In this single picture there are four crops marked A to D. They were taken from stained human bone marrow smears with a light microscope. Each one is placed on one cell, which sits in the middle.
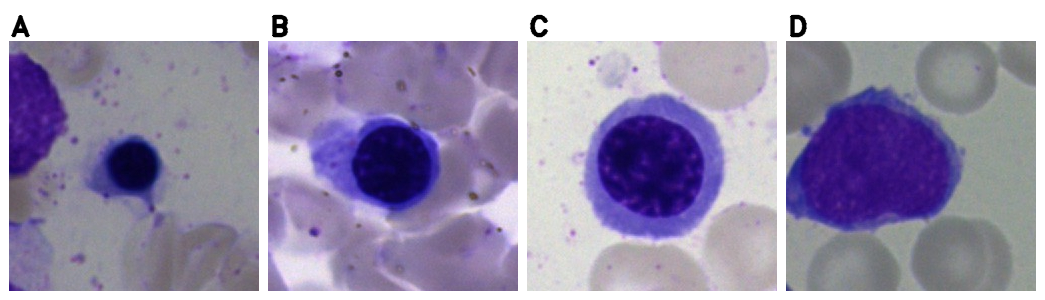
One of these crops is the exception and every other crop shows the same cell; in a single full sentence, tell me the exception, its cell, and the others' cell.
Whereas the other crops all show erythroblasts, crop D shows a blast.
